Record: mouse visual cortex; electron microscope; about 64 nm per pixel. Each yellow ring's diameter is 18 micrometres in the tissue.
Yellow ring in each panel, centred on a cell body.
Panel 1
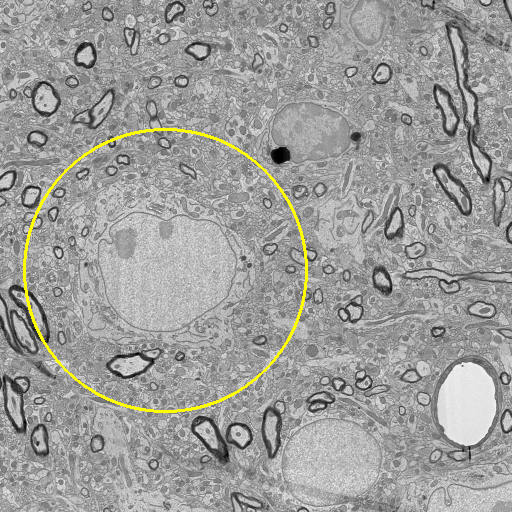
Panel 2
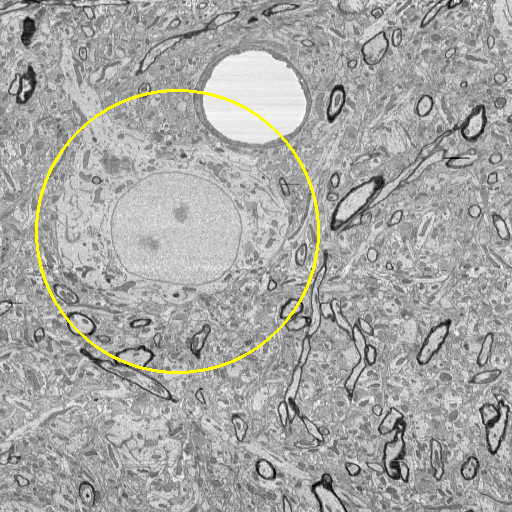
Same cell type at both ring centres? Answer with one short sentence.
Yes, both cells are of the same type.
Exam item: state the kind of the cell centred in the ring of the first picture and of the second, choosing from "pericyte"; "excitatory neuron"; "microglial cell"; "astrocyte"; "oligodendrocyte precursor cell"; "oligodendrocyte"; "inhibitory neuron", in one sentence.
Each of the ringed cells, first and second, is an excitatory neuron.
